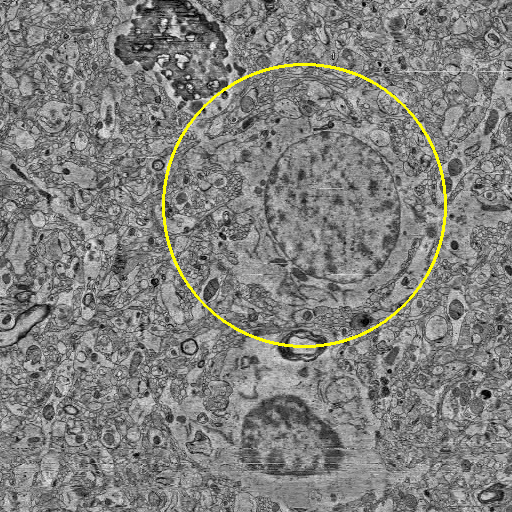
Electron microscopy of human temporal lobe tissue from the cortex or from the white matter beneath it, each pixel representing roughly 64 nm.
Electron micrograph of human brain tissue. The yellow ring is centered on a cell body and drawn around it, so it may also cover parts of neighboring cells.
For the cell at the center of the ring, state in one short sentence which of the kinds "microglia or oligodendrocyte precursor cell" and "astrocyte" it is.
This ring is centered on an astrocyte.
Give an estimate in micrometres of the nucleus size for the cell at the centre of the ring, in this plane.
Approximately 10 micrometres long and 9 micrometres wide, in this plane.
